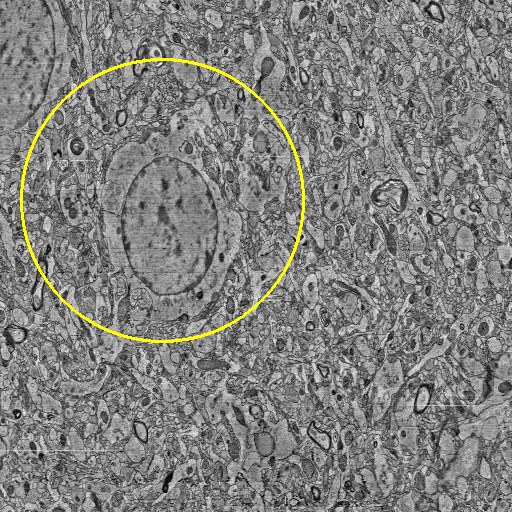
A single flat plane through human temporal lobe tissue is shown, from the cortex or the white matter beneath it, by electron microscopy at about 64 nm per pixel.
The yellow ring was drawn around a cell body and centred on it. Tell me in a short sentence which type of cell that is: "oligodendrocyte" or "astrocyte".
The cell at the ring's centre is an astrocyte.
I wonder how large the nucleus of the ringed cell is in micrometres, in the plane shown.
The ringed cell's nucleus is about 9 micrometres long and 6 micrometres wide in this plane.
